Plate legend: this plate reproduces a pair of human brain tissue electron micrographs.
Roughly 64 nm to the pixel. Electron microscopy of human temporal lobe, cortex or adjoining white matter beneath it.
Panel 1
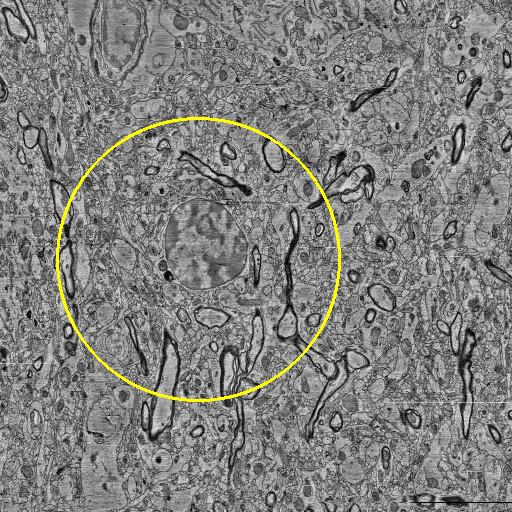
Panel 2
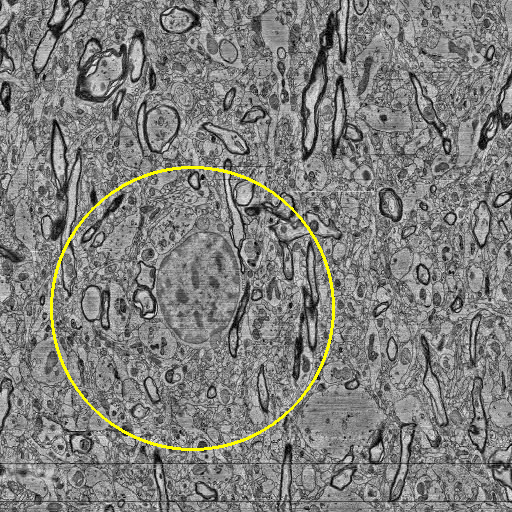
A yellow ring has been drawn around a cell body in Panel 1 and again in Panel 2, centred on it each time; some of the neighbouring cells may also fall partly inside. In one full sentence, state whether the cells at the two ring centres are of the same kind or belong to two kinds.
The ring-centred cells of Panel 1 and Panel 2 belong to two kinds.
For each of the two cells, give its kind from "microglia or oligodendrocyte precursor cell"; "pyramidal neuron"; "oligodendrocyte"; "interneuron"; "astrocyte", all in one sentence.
The first picture has a microglial cell or oligodendrocyte precursor cell in its ring, the second has an oligodendrocyte.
